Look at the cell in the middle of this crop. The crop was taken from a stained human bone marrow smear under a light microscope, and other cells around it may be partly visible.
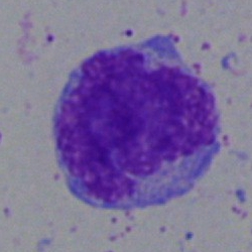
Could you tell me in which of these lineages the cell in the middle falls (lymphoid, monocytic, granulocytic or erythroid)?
monocytic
